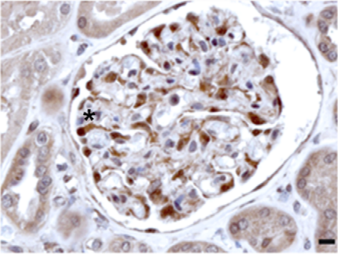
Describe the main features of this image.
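A kidney glomerulus is seen with its tuft of capillary loops inside a capsule, surrounded by cut tubules. Many cells lining the outer surface of the tuft are deep brown, with stained nuclei and cytoplasm, while other nuclei are blue. A clear space separates the tuft from the thin capsule wall.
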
